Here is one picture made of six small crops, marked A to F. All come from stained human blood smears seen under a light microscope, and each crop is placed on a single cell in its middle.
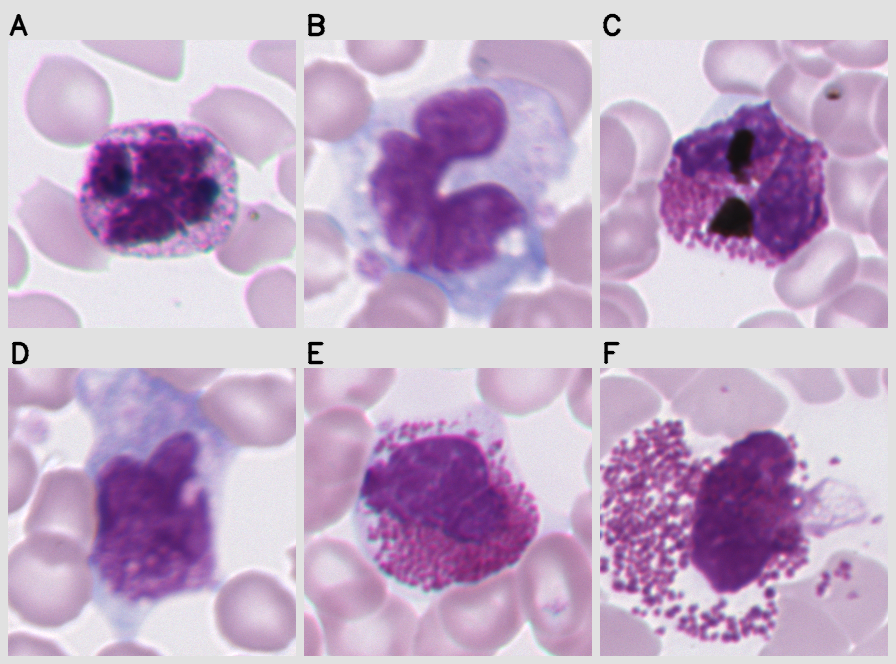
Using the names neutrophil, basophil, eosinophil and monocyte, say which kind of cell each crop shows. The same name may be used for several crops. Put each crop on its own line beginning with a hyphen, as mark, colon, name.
- A: basophil
- B: monocyte
- C: eosinophil
- D: monocyte
- E: eosinophil
- F: eosinophil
